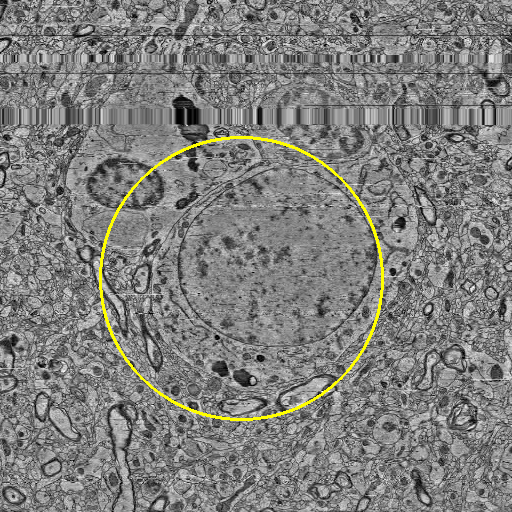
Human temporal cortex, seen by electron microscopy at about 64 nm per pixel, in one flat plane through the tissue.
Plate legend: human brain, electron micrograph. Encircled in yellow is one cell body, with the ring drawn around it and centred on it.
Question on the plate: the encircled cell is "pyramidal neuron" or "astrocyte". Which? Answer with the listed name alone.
pyramidal neuron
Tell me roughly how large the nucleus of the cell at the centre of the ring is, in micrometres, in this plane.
In this plane the nucleus measures roughly 12 micrometres across.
